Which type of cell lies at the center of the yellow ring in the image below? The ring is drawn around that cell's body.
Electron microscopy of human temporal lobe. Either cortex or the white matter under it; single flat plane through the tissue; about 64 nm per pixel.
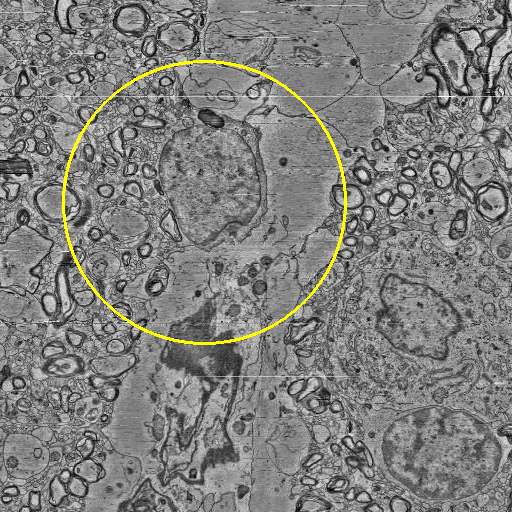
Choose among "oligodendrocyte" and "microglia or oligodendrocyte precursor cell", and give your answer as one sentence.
The cell body at the center belongs to an oligodendrocyte.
